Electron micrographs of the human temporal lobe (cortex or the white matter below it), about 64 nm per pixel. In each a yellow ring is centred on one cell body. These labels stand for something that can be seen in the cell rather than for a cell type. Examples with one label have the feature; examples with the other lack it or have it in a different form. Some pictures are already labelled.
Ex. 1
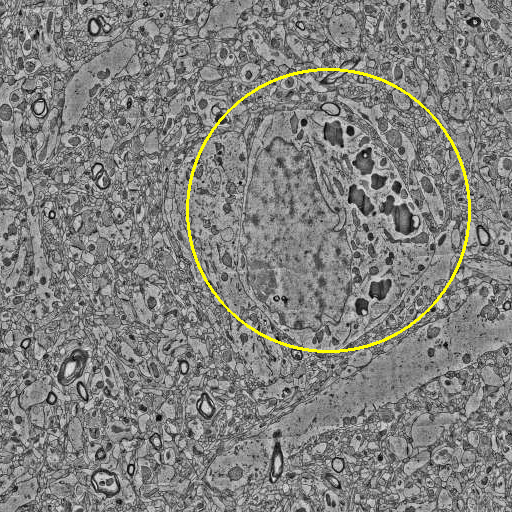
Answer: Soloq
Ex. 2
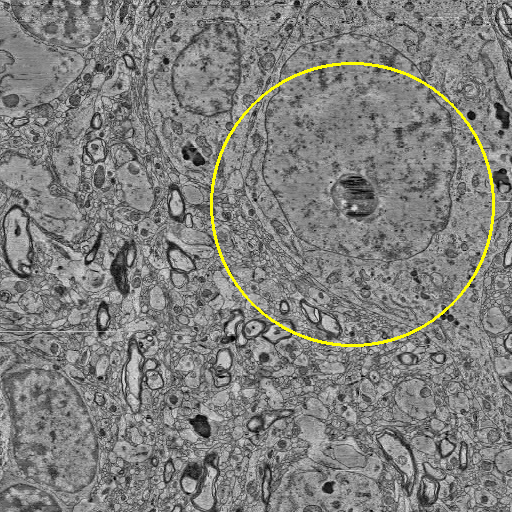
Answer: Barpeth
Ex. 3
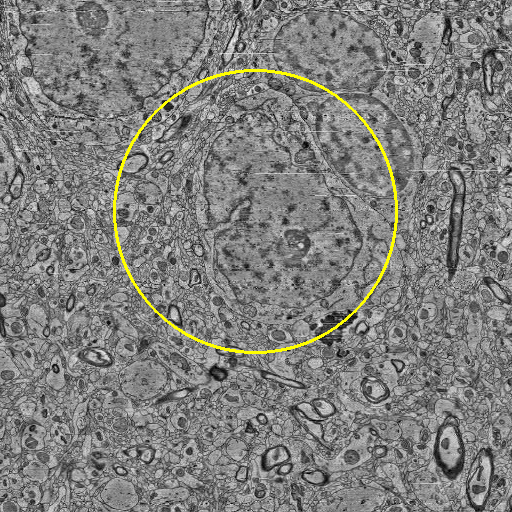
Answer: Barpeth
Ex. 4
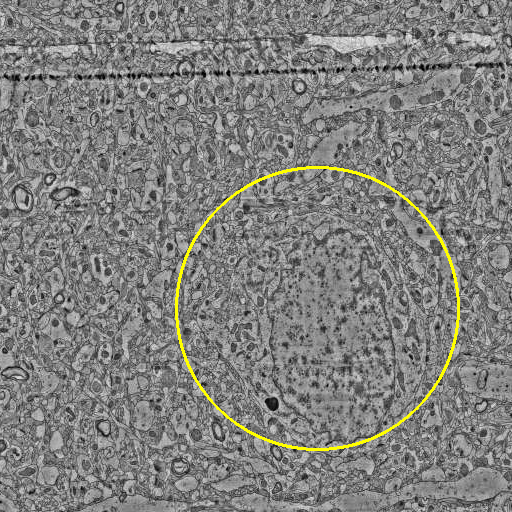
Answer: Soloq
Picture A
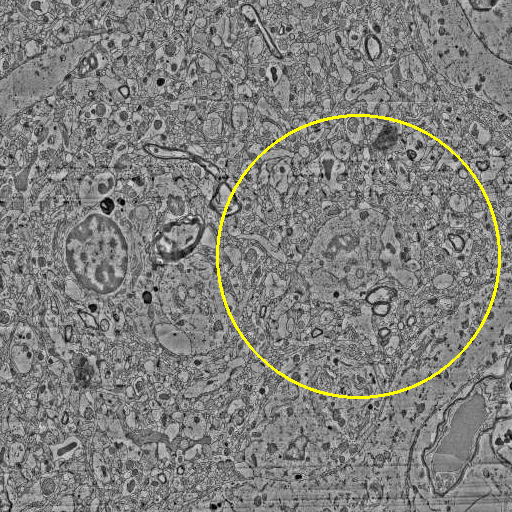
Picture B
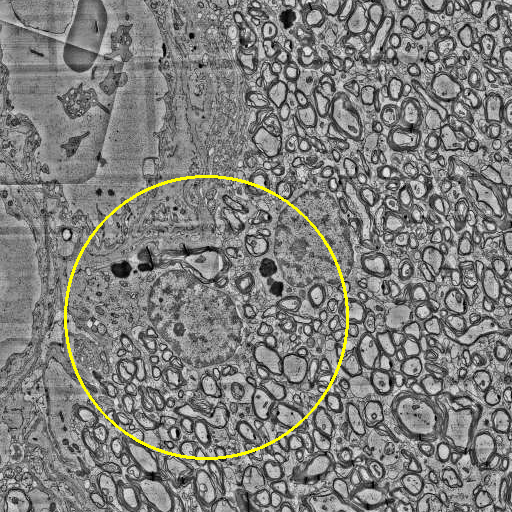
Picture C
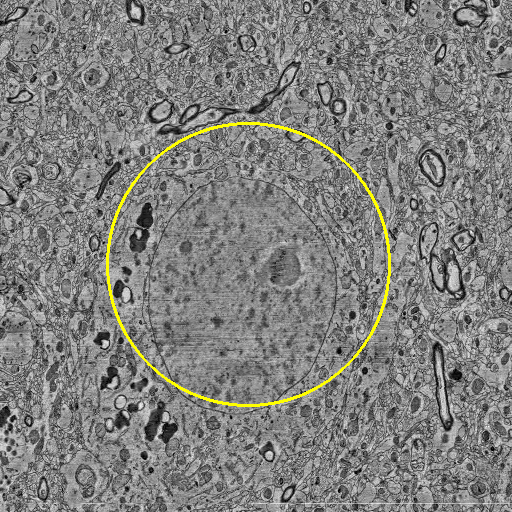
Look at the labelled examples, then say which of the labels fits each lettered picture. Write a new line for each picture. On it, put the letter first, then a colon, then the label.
A: Soloq
B: Barpeth
C: Barpeth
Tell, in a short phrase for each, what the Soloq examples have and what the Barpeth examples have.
In Soloq: no nucleolus seen. In Barpeth: nucleolus seen.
